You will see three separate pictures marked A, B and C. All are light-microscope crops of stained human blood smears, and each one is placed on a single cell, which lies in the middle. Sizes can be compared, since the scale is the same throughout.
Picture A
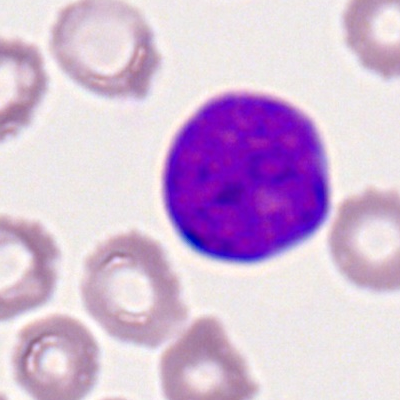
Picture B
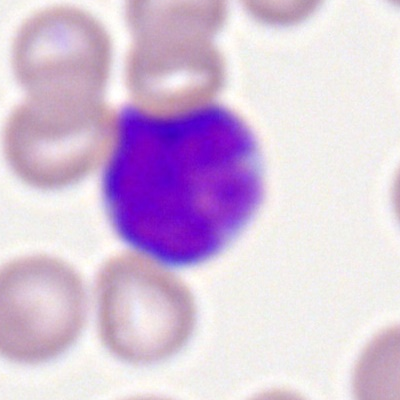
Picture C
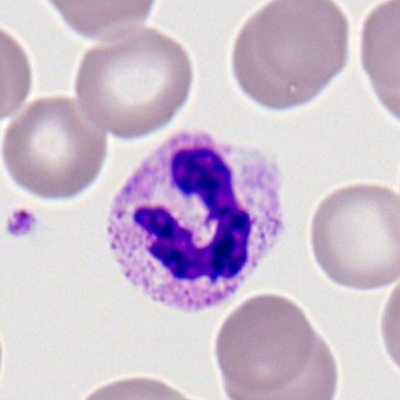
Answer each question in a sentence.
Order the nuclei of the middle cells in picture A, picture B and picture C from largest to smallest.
The order is A, B, C, beginning with the largest.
